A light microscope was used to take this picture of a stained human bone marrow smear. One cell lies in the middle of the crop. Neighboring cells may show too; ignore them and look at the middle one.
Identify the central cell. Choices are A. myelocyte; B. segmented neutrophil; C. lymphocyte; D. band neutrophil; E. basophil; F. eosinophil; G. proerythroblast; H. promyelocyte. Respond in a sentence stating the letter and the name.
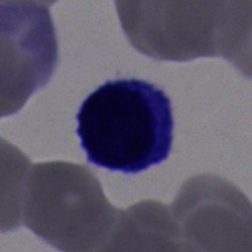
The middle cell of the crop is a lymphocyte; accordingly, option C is correct.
